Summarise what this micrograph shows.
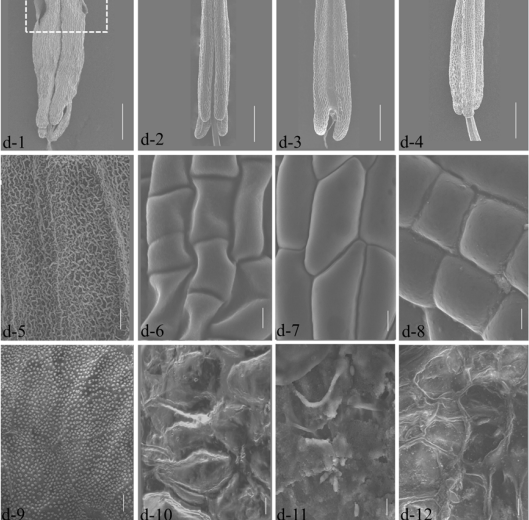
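This grid of scanning electron micrographs shows whole anthers in the top row, the anther epidermal surface in the middle row and the anther inner surface in the bottom row. In the left column the anther is plump, its epidermal cells are hidden under a dense, wrinkled, net-like surface covering, and its inner surface is packed with small, evenly spaced granules. In the other three columns the anthers are slender, their epidermal cells are smooth with clearly visible cell boundaries, and their inner surfaces are covered by irregular, collapsed, folded sheets rather than granules.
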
